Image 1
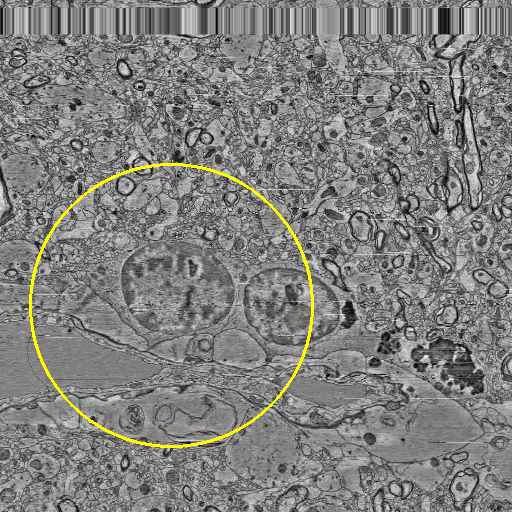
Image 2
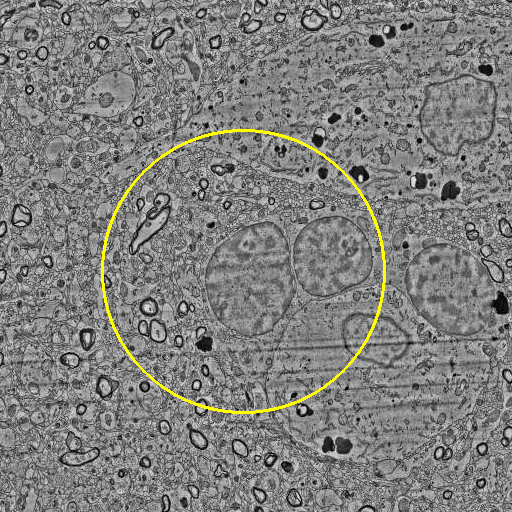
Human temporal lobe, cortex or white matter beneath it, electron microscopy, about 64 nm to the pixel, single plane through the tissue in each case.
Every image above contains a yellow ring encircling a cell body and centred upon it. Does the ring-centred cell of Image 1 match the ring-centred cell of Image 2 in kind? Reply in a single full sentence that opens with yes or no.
Yes, the cell at the ring's centre in Image 1 is the same kind as that in Image 2.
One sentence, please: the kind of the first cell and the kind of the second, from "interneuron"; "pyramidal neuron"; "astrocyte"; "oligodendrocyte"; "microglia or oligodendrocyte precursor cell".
Both pictures show an oligodendrocyte at the centre of the ring.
